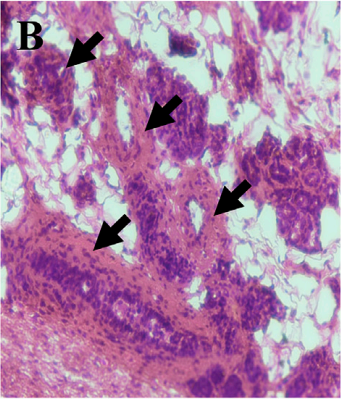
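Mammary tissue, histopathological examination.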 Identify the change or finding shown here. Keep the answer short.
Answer: Excessive proliferation of epithelial lining of acini and ductules.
